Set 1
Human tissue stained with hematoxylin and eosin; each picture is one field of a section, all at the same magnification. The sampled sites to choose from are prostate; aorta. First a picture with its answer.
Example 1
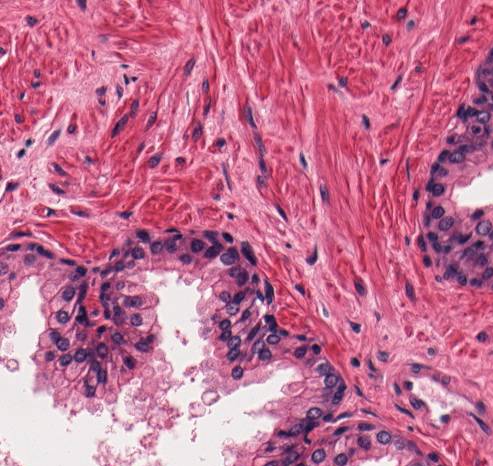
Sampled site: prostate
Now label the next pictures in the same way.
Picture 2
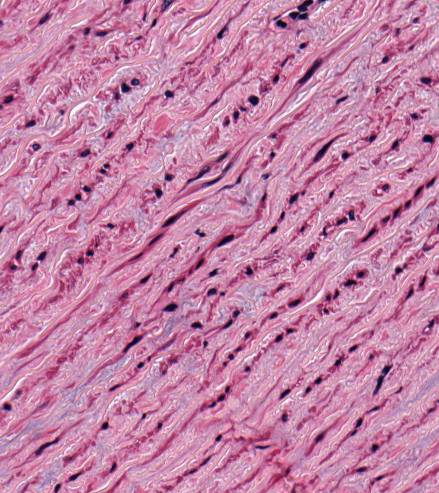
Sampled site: aorta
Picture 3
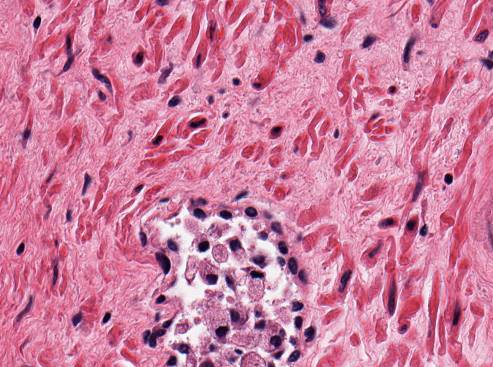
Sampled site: prostate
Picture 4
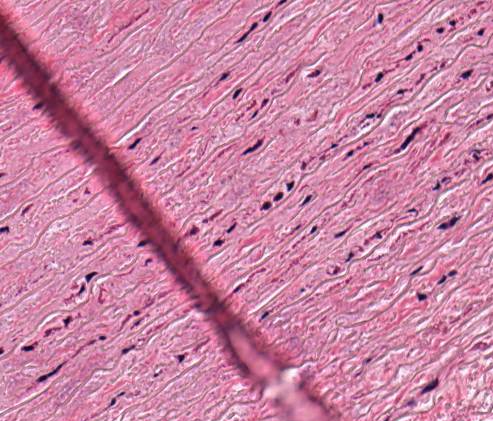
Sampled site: aorta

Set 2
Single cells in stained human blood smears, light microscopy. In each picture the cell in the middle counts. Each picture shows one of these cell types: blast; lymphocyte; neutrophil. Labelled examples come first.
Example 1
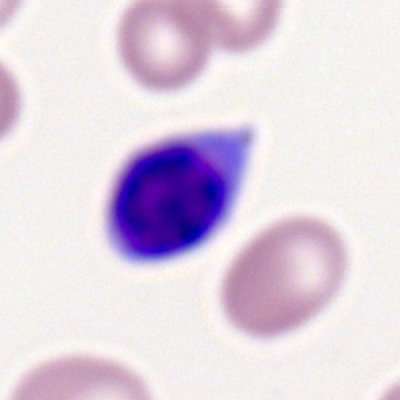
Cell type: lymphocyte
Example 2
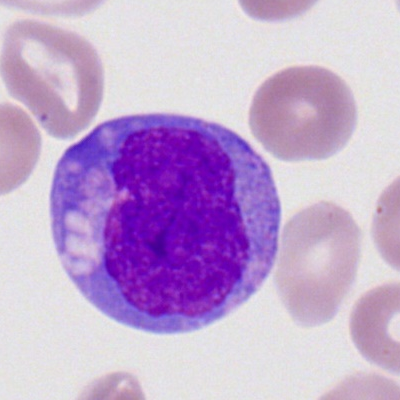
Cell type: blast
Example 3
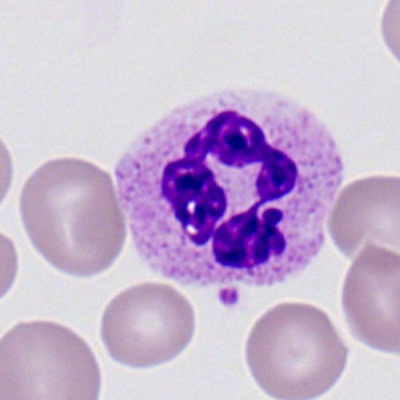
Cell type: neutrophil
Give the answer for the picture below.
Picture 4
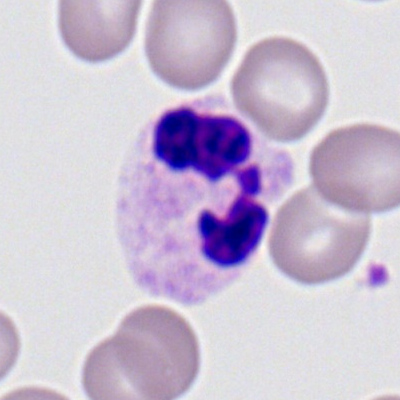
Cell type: neutrophil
